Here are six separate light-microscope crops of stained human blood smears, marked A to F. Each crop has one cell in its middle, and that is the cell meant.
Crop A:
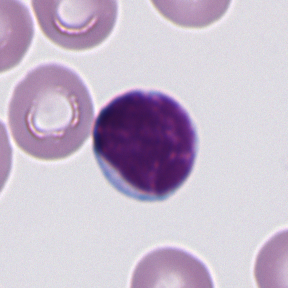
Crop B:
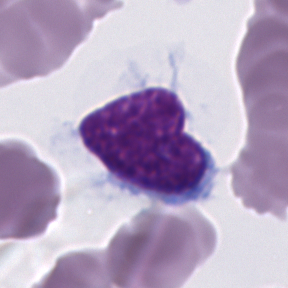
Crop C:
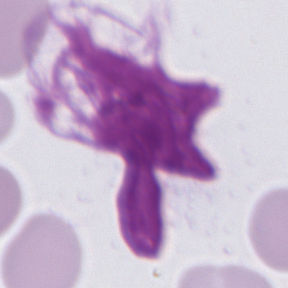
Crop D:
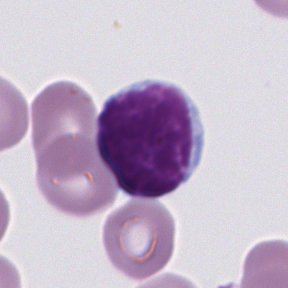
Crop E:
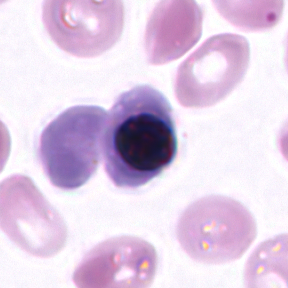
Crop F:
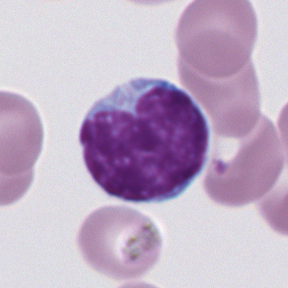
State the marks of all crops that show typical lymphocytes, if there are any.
A, D, F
